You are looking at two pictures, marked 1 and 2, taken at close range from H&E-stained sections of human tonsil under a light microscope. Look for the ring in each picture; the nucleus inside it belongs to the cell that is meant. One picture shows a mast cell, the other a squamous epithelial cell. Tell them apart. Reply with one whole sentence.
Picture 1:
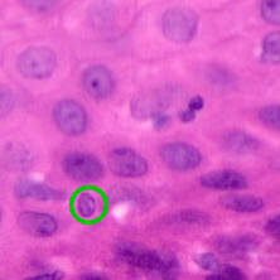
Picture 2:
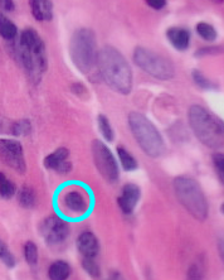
The cell in picture 1 is a squamous epithelial cell, and the one in picture 2 is a mast cell.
